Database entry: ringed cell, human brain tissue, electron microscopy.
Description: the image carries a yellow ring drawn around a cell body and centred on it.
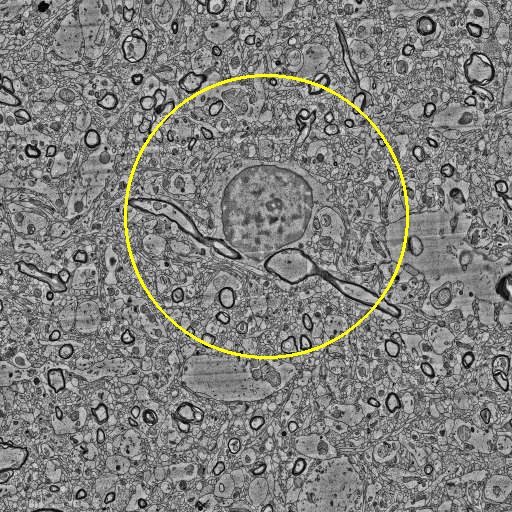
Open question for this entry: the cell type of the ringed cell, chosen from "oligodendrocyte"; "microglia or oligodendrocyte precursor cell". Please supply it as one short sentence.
The ringed cell is an oligodendrocyte.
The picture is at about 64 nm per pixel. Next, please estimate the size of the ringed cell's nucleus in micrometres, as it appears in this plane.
The nucleus is approximately 6 micrometers across in this plane.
